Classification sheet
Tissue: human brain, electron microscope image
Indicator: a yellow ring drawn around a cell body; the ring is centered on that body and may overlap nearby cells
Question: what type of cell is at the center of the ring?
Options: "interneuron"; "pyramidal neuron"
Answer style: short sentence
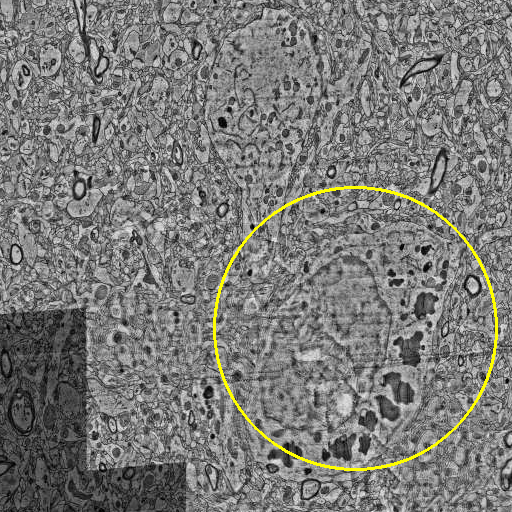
At the ring's center is an interneuron.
